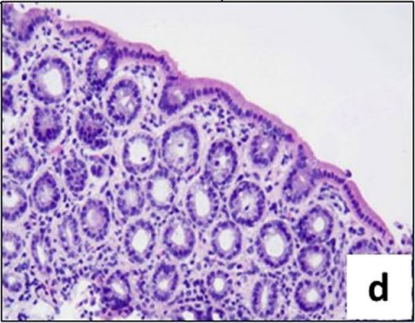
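This view of colonic mucosa shows many glands cut across, each appearing as a round ring of epithelial cells around a small central lumen. The rings are lined by cells with dark purple nuclei at their outer edge, and pale mucous-filled cells fill much of each ring. Between the rings the lamina propria is crowded with small darkly stained nuclei. Along the top edge a continuous row of columnar surface epithelium with a pink apical border covers the mucosa.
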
